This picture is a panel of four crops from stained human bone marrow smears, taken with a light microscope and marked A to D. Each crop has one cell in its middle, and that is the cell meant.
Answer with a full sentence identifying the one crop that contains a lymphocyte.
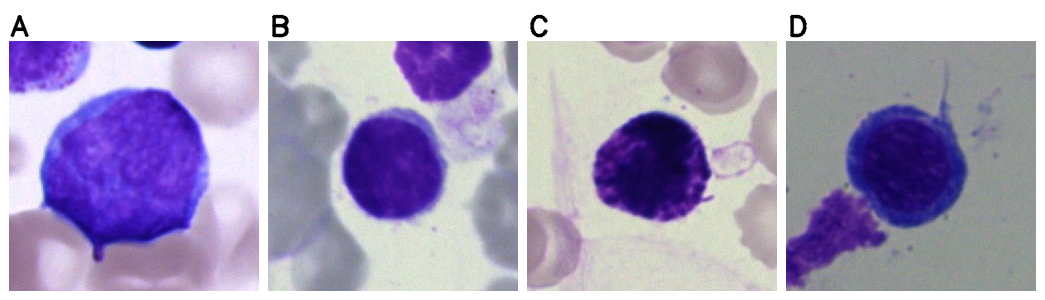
Among the crops, only crop B contains a lymphocyte.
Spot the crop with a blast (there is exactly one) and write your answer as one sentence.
The cell identified as a blast is the one in crop A.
